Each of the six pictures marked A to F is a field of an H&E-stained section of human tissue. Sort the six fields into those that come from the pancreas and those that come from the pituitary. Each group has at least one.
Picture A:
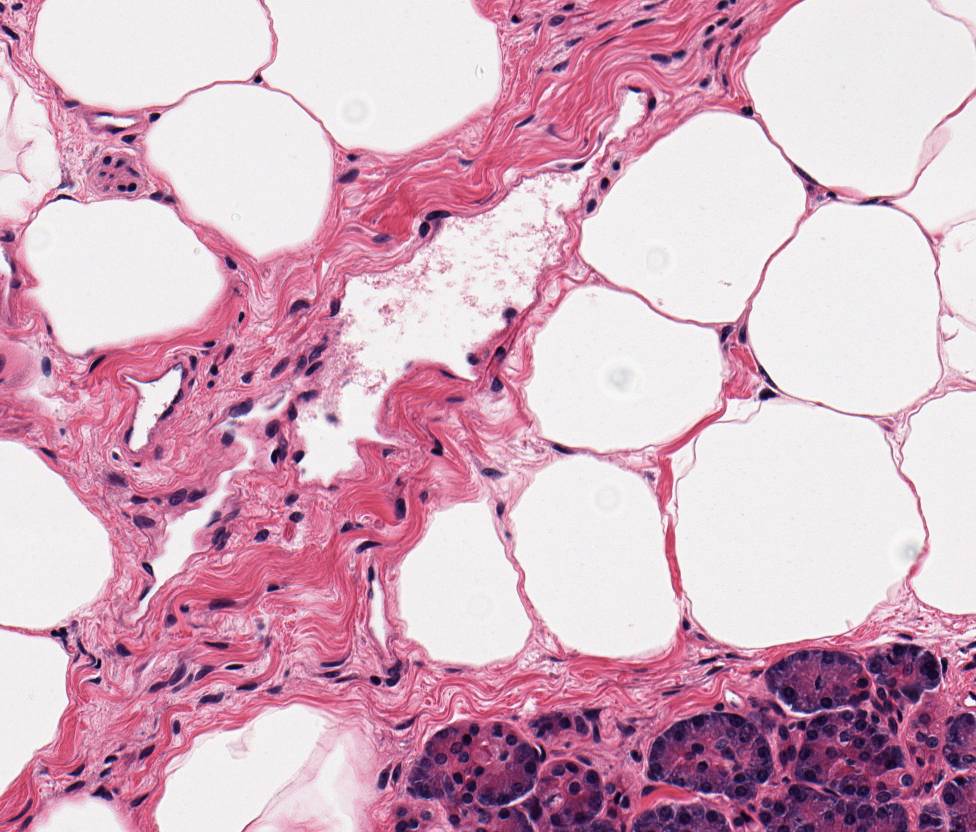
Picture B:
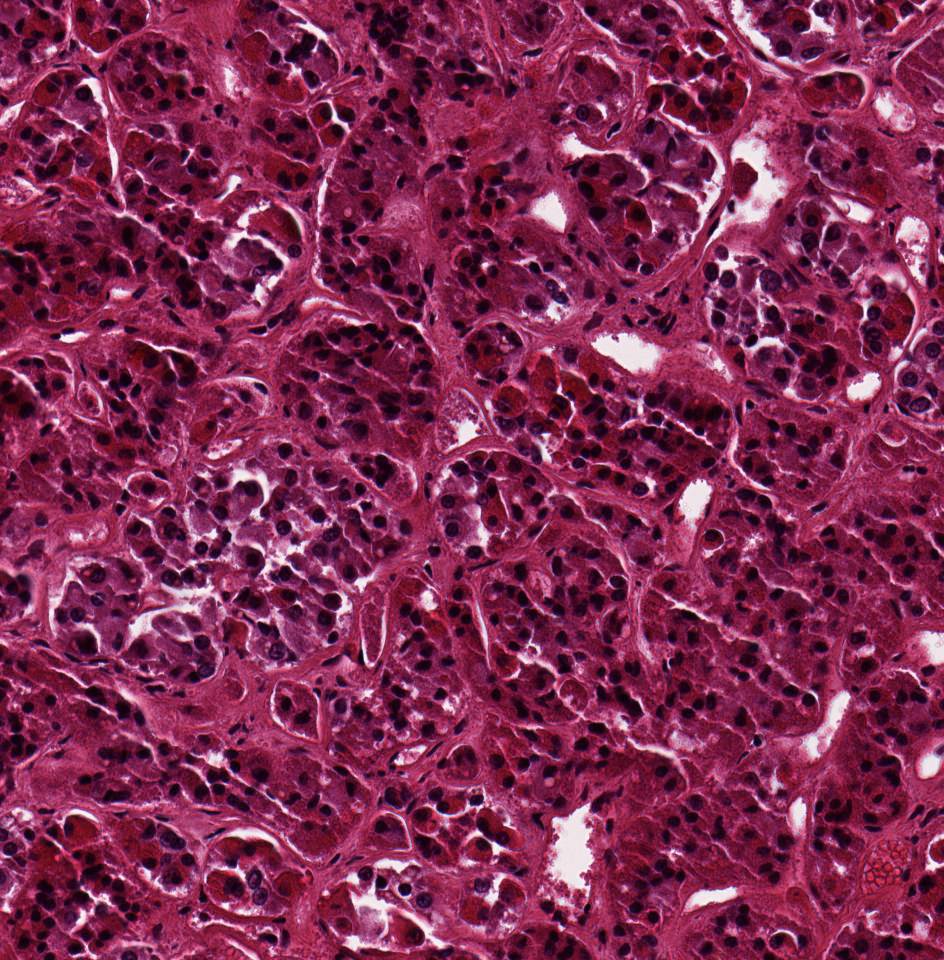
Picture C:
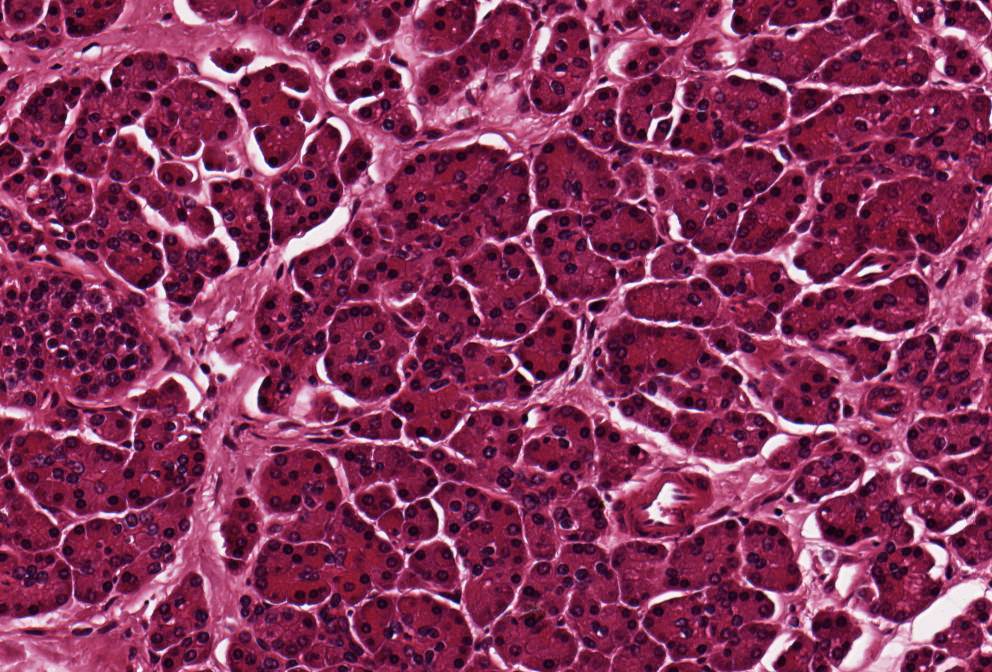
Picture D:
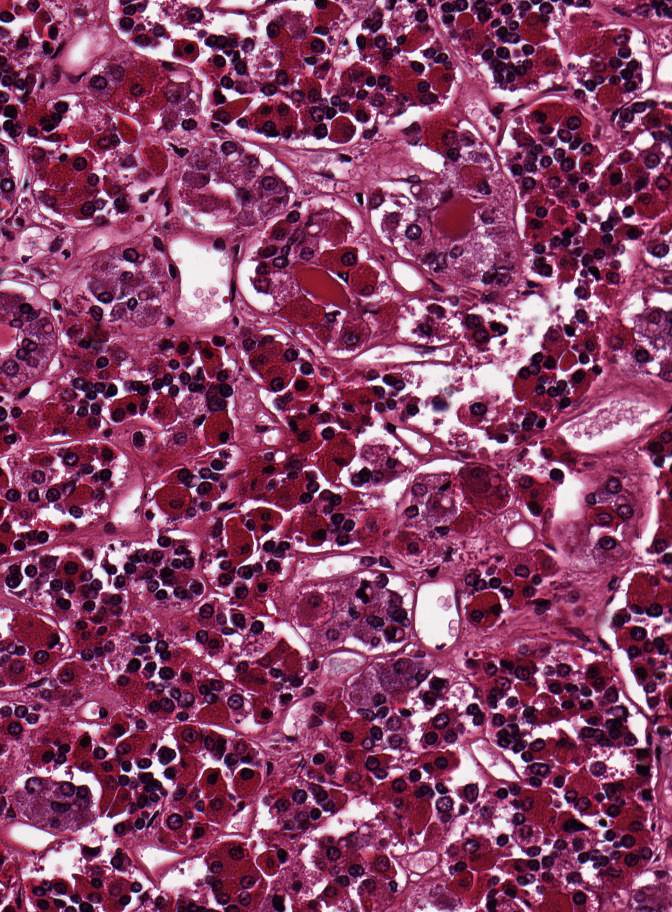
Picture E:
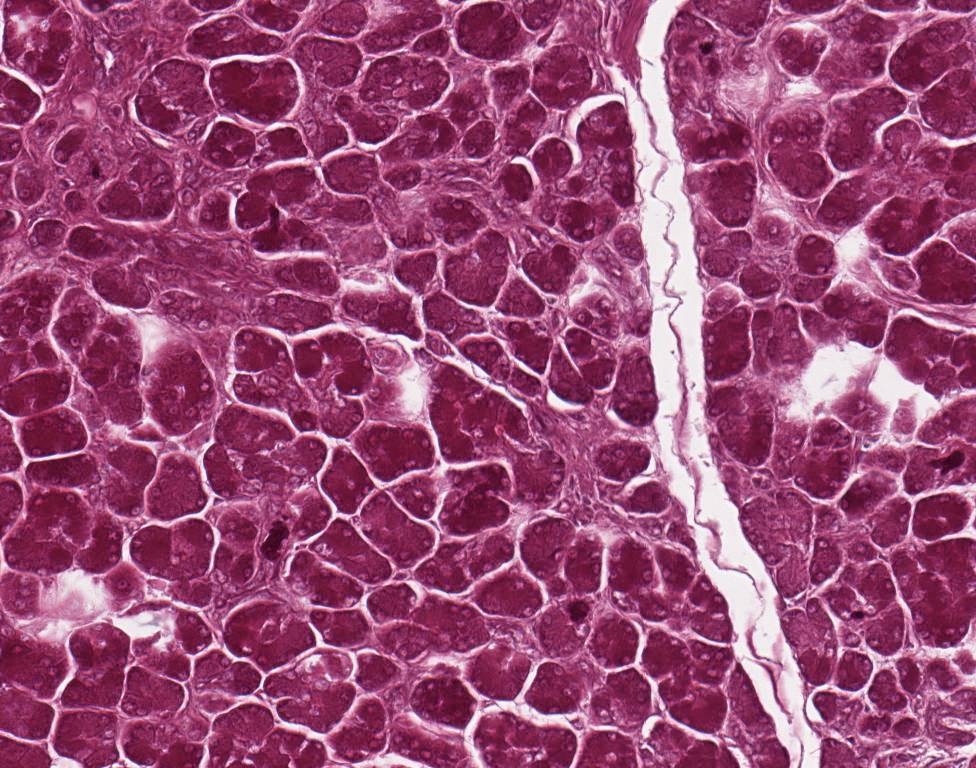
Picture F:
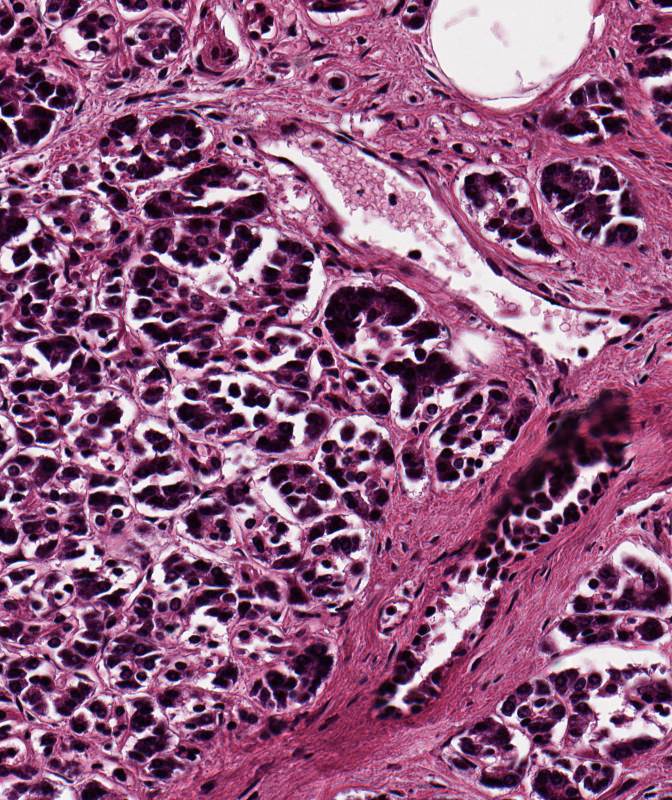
A: pancreas
B: pituitary
C: pancreas
D: pituitary
E: pancreas
F: pancreas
